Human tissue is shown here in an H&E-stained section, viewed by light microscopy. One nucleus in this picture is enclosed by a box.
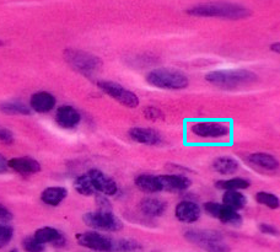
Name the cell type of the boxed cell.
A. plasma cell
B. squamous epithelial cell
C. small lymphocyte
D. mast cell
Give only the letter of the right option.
D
